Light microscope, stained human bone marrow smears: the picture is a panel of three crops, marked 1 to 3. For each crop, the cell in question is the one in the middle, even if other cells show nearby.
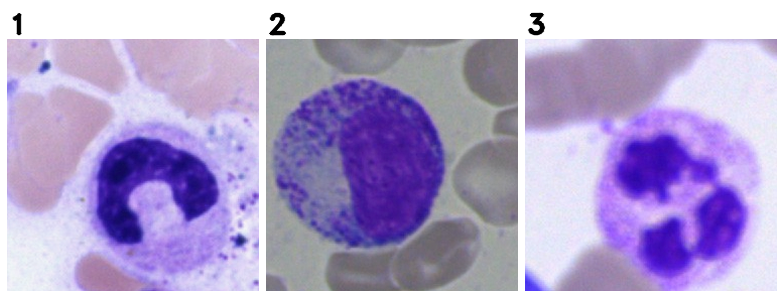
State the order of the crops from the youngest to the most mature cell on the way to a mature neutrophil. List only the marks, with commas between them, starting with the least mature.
2, 1, 3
